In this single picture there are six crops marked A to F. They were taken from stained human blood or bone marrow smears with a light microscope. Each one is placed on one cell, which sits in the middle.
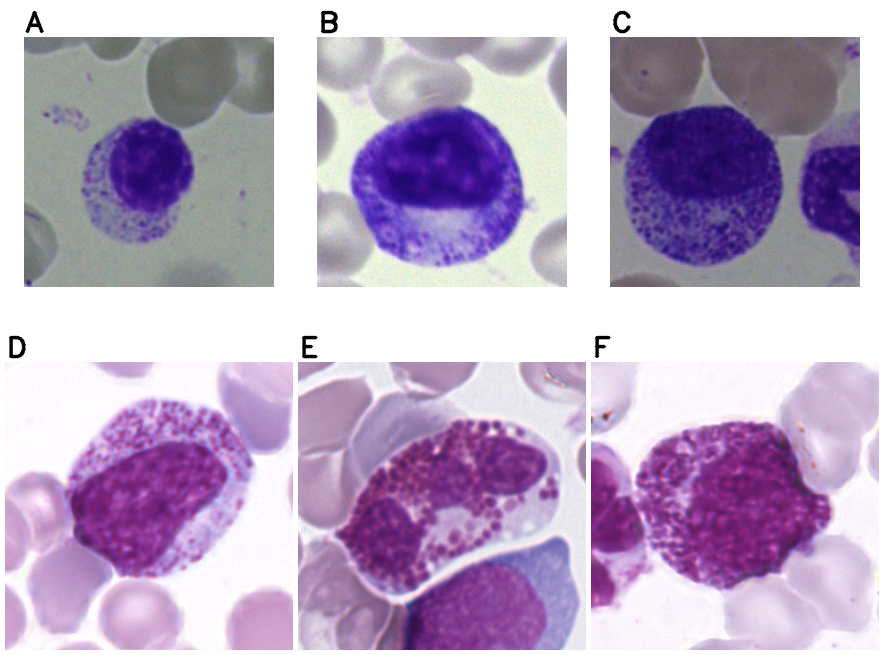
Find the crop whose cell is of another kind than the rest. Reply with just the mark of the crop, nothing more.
E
